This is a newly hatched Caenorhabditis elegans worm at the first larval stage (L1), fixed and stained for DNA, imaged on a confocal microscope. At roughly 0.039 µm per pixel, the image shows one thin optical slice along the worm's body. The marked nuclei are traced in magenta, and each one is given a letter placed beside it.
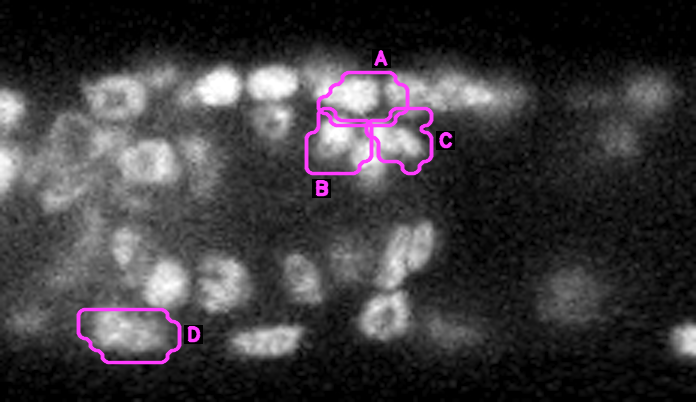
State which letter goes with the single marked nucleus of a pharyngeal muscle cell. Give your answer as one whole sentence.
The one from a pharyngeal muscle cell is B.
